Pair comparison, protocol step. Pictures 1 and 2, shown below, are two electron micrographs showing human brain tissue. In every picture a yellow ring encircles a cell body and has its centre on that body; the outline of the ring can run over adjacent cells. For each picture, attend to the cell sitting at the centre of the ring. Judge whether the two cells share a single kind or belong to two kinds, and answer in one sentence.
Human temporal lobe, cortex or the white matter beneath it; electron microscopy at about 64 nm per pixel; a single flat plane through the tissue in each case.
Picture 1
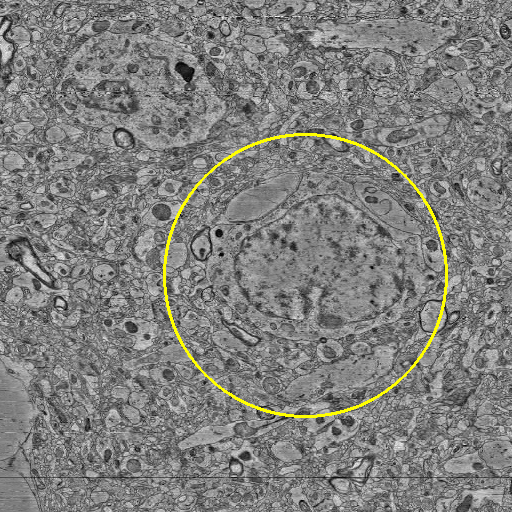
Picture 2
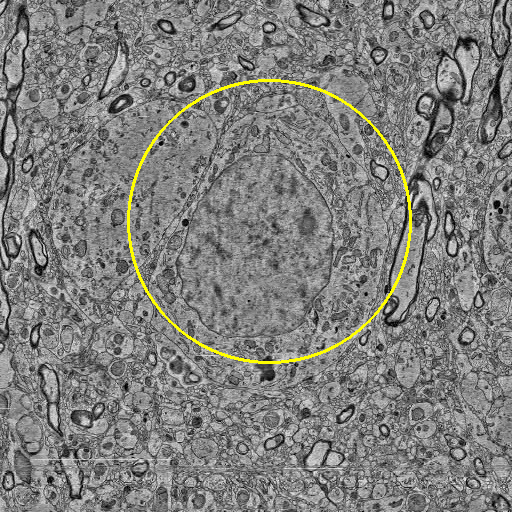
The two cells at the ring centres in Picture 1 and Picture 2 share a single kind.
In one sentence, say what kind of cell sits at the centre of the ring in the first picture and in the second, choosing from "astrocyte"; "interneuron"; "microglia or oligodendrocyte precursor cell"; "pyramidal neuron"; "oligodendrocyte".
In the first picture and in the second, the ring is centred on an interneuron.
